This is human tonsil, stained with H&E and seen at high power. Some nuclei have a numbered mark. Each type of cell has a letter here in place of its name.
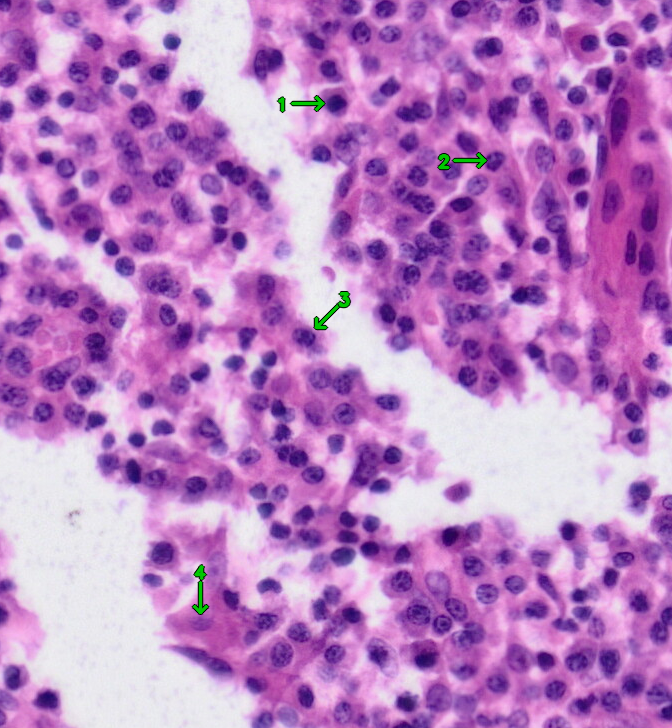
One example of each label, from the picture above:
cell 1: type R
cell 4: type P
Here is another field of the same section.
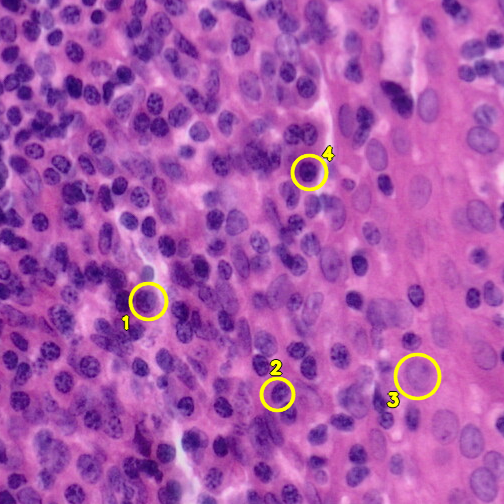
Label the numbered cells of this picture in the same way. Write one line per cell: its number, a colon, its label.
1: type R
2: type R
3: type P
4: type R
